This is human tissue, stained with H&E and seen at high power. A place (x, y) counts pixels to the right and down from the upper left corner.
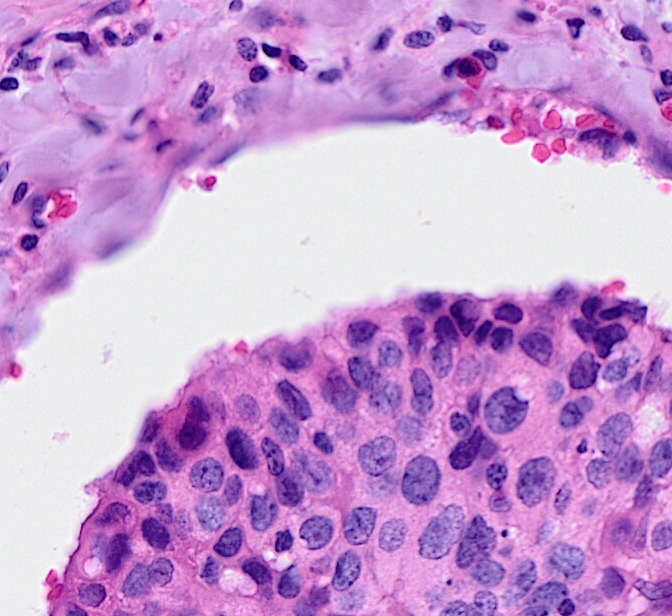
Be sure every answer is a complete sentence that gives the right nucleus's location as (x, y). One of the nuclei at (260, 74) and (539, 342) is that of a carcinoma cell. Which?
So, of the two, the nucleus at (539, 342) is the one belonging to a carcinoma cell.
